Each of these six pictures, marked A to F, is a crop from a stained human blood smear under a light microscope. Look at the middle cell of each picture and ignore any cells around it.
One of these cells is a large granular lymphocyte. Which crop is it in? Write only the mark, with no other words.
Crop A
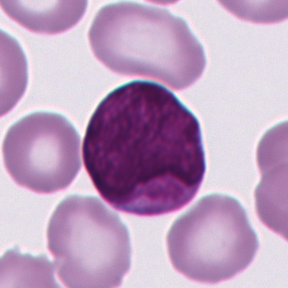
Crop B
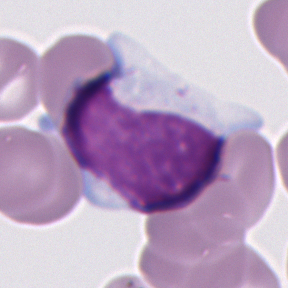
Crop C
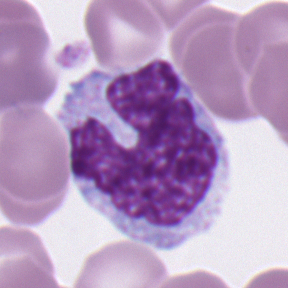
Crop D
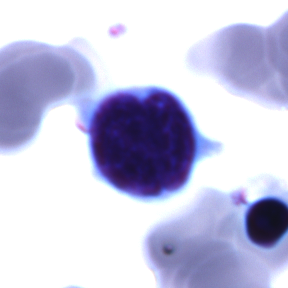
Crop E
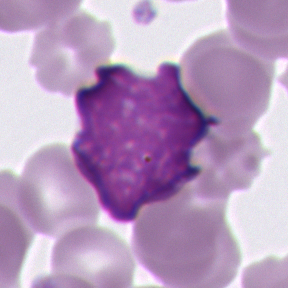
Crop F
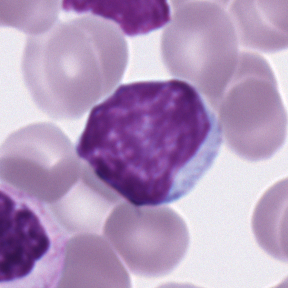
B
